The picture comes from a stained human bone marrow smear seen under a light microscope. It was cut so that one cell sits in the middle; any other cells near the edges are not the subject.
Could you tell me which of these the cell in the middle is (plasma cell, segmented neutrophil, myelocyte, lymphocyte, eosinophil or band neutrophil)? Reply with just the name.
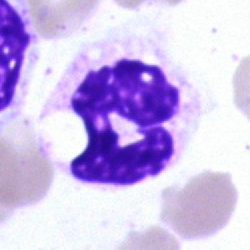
segmented neutrophil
